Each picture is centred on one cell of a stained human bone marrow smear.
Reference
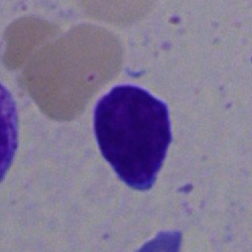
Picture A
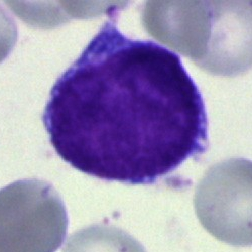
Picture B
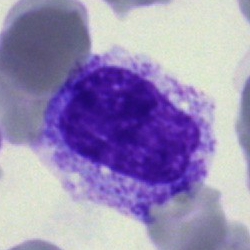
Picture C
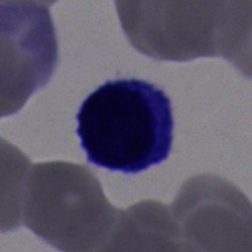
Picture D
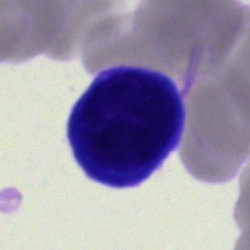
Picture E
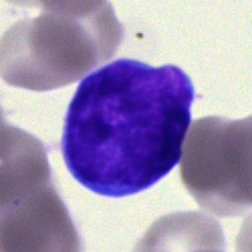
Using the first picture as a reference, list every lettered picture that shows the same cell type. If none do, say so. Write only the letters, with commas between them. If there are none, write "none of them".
C, D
